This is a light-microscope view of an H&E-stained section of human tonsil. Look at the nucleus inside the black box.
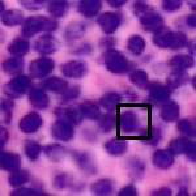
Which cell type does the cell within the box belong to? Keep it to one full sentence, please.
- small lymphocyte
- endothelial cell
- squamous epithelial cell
In this preparation, the cell within the box is a small lymphocyte.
